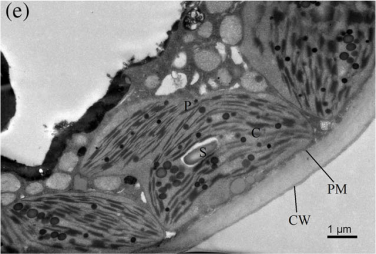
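The edge of a plant mesophyll cell is seen, with several chloroplasts pressed against the cell wall. A thick grey cell wall runs along the lower right, with the thin plasma membrane just inside it. The chloroplasts are lens-shaped and filled with long parallel stacks of thylakoid membranes, with many small round dark plastoglobuli scattered between them. One chloroplast holds a small pale starch granule. Between the chloroplasts lie small round pale organelles in a grainy cytoplasm, and at the upper left the tissue edge is darker and irregular.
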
